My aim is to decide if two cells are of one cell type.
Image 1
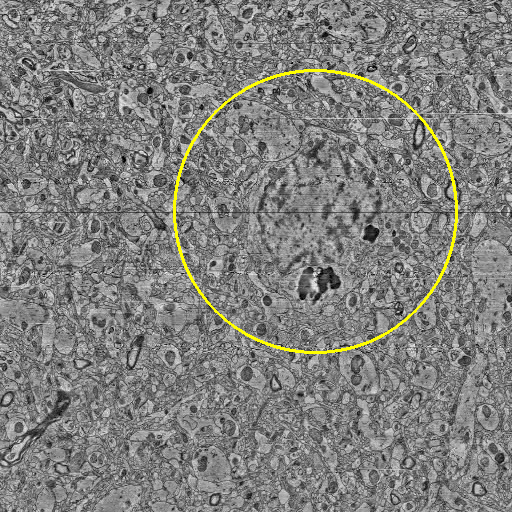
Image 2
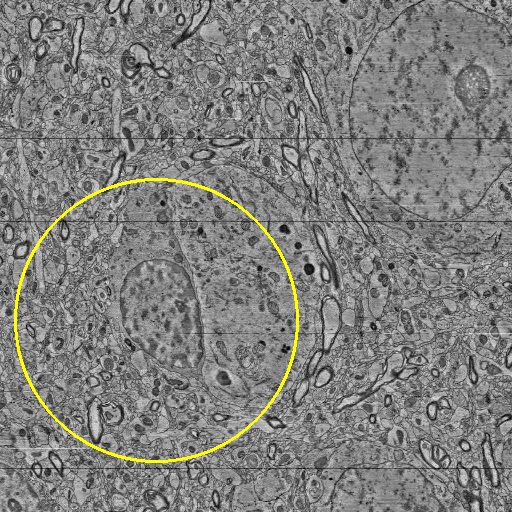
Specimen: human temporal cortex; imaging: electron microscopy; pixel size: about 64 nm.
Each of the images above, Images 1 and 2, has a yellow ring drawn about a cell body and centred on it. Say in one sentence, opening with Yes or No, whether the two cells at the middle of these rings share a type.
No, in Images 1 and 2 the cells at the middle of the rings fall into two types.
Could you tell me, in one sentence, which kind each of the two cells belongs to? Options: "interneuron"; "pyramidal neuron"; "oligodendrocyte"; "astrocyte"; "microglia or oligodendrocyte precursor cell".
At the centre of the first ring sits an interneuron, and at the centre of the second sits an oligodendrocyte.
